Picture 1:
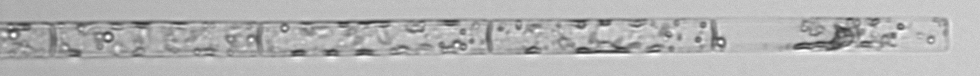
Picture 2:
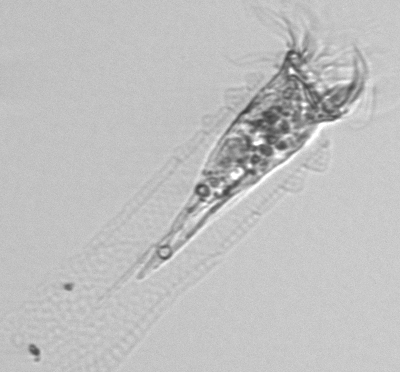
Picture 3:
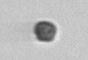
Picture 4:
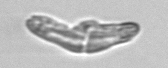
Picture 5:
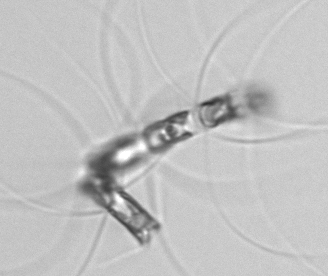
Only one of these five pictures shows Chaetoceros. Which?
Picture 5.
